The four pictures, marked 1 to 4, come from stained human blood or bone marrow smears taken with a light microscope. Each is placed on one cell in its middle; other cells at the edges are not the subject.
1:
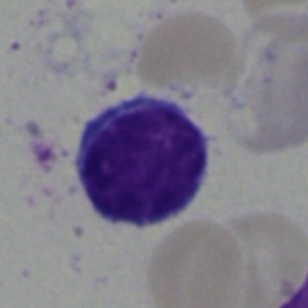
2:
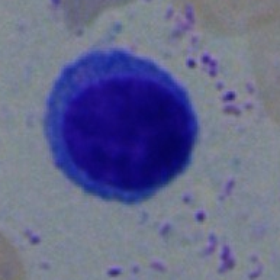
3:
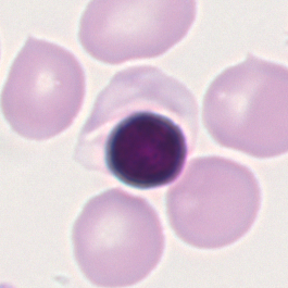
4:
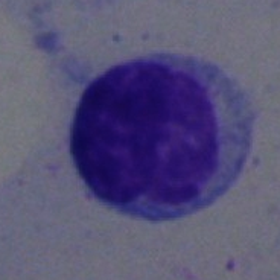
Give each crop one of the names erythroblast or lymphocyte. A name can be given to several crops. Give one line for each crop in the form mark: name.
1: lymphocyte
2: lymphocyte
3: erythroblast
4: lymphocyte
